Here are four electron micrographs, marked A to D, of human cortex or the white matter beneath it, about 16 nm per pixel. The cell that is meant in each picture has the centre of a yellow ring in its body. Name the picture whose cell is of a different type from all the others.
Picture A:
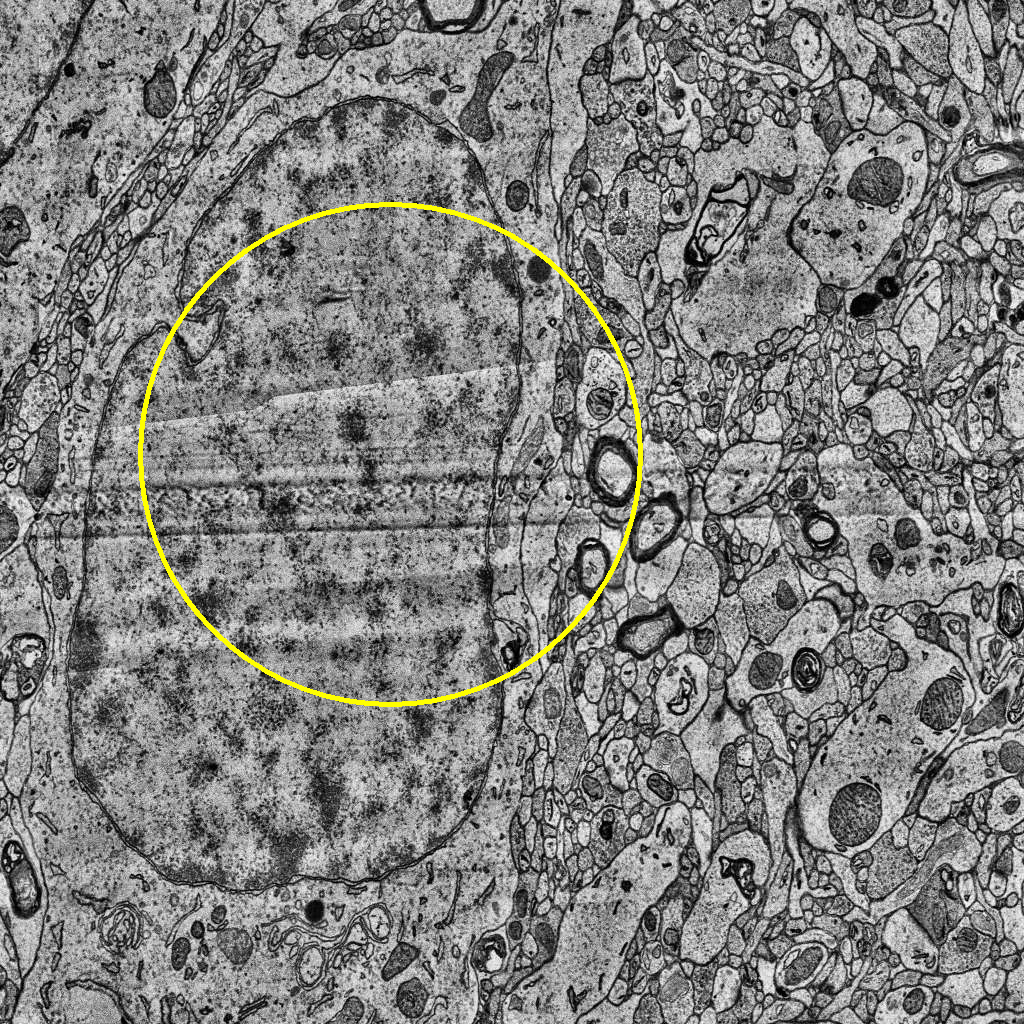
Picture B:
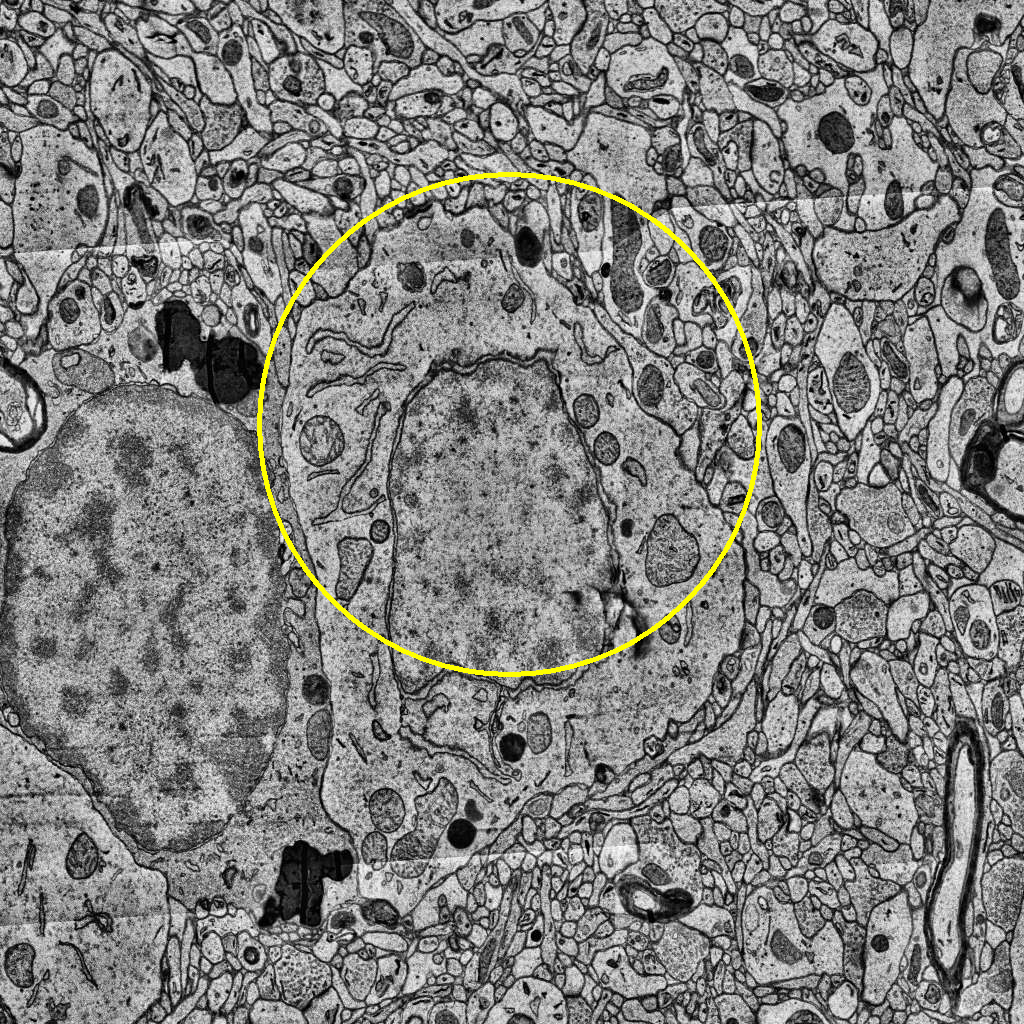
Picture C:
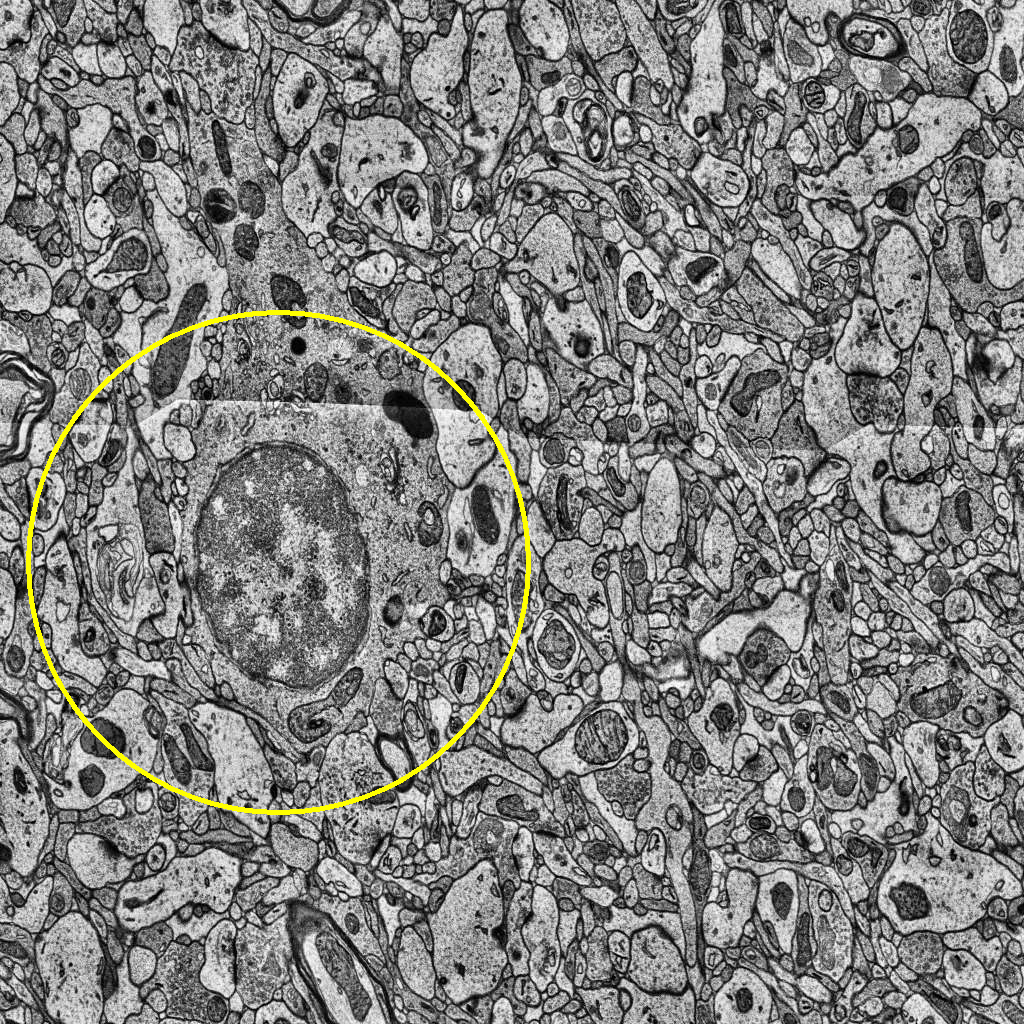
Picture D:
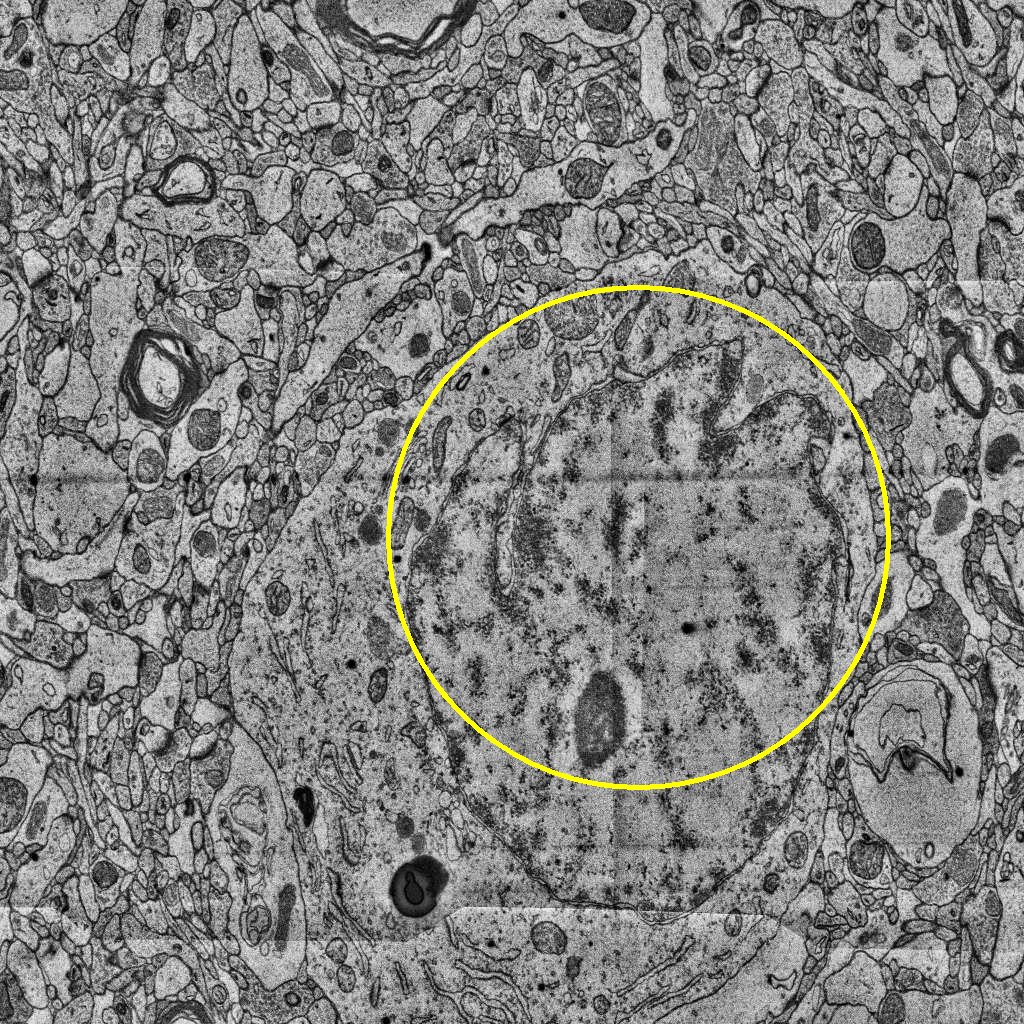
Unlike the rest, which show interneurons, picture C shows an oligodendrocyte.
